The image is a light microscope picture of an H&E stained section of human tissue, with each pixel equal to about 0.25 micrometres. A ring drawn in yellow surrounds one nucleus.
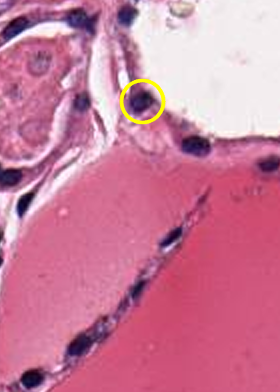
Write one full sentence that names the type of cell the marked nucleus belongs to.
On this slide, the marked nucleus belongs to a thyroid follicular cell.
